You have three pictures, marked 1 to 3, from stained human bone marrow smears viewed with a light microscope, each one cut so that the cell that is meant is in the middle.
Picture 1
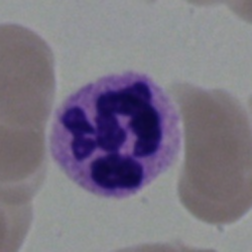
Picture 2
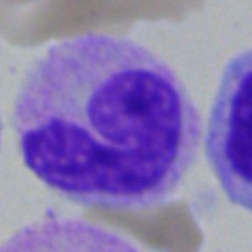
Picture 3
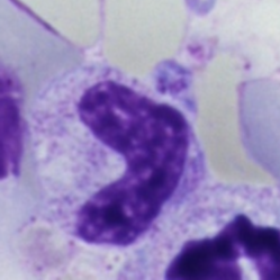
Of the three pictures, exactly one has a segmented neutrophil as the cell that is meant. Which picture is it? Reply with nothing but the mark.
1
